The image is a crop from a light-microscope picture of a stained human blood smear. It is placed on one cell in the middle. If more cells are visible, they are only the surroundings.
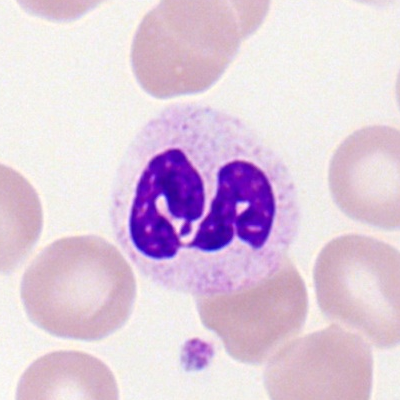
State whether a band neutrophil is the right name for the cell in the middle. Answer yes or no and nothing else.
no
